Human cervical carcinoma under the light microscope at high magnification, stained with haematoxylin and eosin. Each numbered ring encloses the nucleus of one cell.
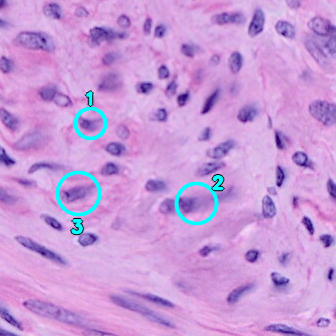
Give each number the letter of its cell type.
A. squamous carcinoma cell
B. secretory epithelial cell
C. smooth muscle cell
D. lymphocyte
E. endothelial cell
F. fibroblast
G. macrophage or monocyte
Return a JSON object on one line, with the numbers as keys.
{"1": "C", "2": "F", "3": "C"}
